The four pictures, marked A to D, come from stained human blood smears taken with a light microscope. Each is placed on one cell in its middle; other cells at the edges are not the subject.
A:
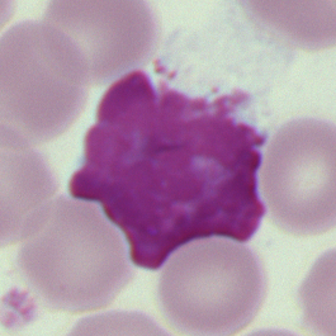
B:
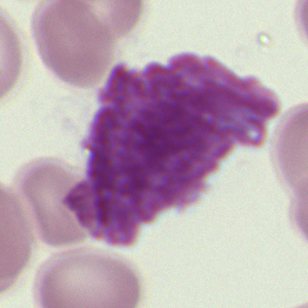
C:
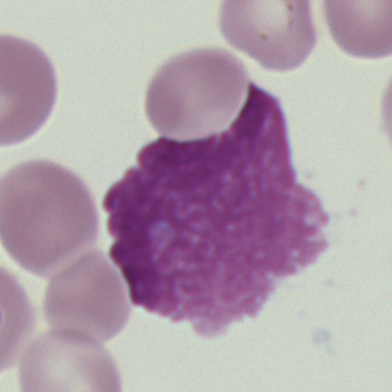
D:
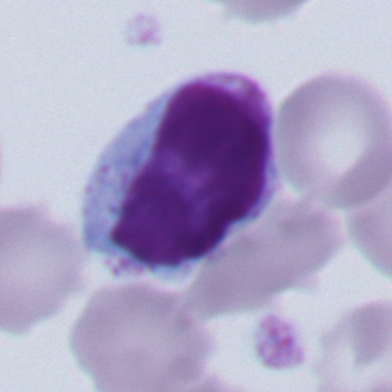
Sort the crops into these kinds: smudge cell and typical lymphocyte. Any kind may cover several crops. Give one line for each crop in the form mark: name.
A: smudge cell
B: smudge cell
C: smudge cell
D: typical lymphocyte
